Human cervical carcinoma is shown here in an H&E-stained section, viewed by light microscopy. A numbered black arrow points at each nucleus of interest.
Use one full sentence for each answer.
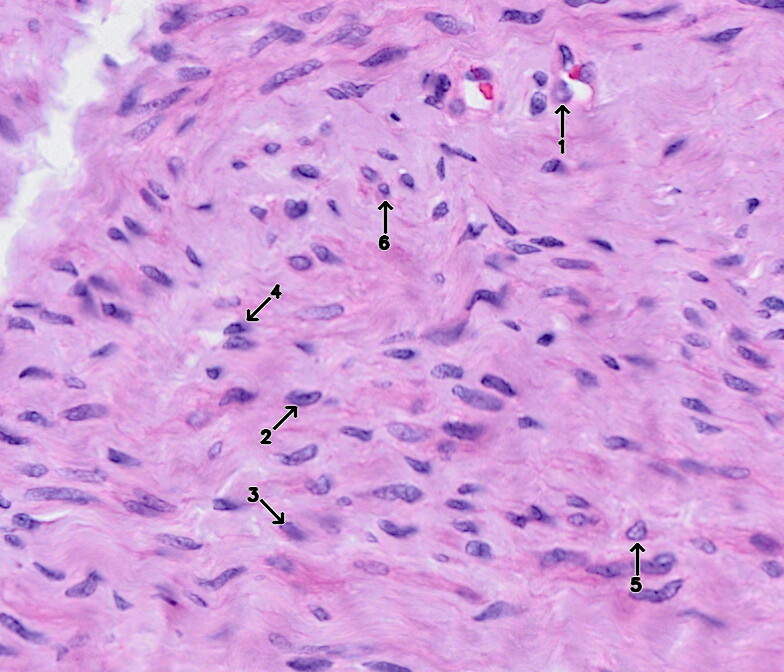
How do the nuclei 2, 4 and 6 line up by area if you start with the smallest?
The order from the smallest nucleus to the largest is 6, 4, 2.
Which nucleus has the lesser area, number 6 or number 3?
Number 6 is smaller, since number 3 takes up about 2.5 times as much area.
